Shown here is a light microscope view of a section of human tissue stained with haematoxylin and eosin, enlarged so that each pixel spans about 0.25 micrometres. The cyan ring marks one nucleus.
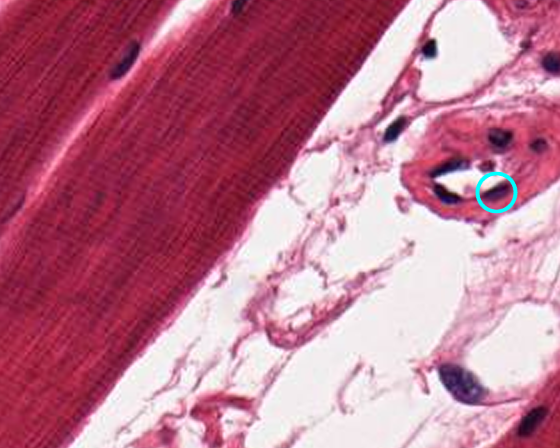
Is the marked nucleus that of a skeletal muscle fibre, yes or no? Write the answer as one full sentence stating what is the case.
No, the marked nucleus belongs to a supporting cell, and a skeletal muscle fibre is not its owner.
